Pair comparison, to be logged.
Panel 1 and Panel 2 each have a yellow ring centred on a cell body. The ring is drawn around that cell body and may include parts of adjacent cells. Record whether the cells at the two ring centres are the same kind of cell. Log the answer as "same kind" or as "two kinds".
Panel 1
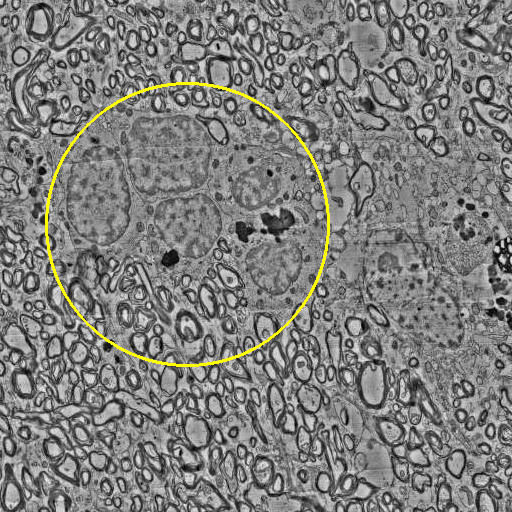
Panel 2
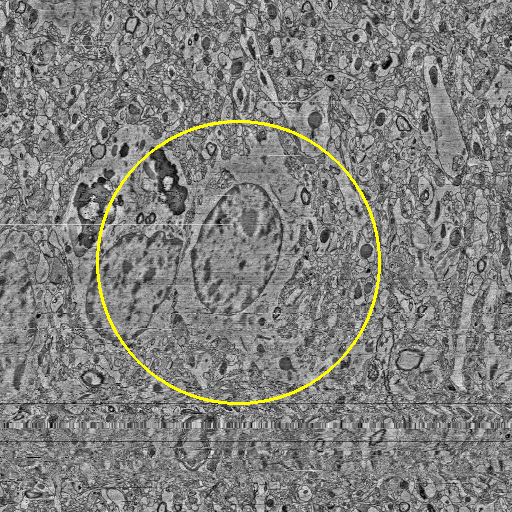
two kinds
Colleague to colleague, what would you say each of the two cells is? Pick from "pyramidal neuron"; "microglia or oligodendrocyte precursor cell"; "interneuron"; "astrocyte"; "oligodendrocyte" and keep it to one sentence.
The cell in the first picture is an oligodendrocyte; the second picture's cell is an astrocyte.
